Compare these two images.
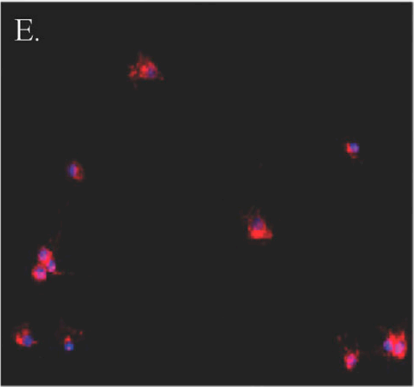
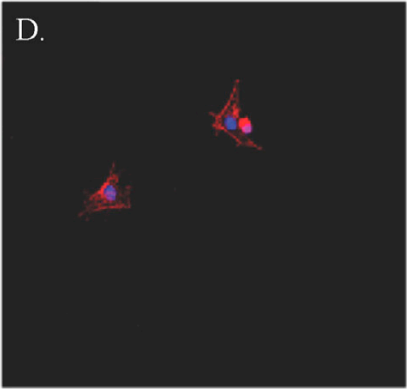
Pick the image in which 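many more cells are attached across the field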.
the first image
